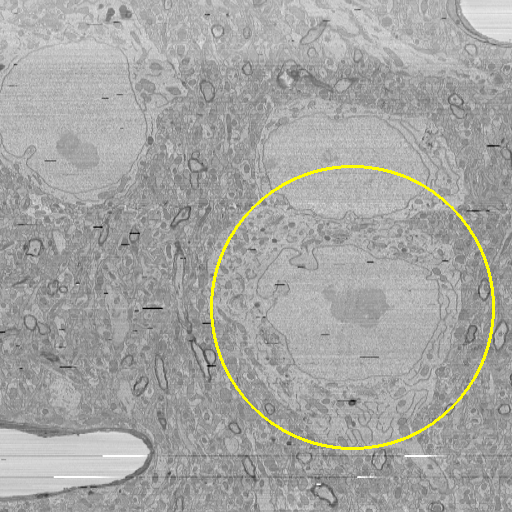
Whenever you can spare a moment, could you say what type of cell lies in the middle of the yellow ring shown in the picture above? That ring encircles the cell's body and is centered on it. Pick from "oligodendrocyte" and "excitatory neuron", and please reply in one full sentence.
The cell whose body sits at the middle of the yellow ring is an excitatory neuron.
